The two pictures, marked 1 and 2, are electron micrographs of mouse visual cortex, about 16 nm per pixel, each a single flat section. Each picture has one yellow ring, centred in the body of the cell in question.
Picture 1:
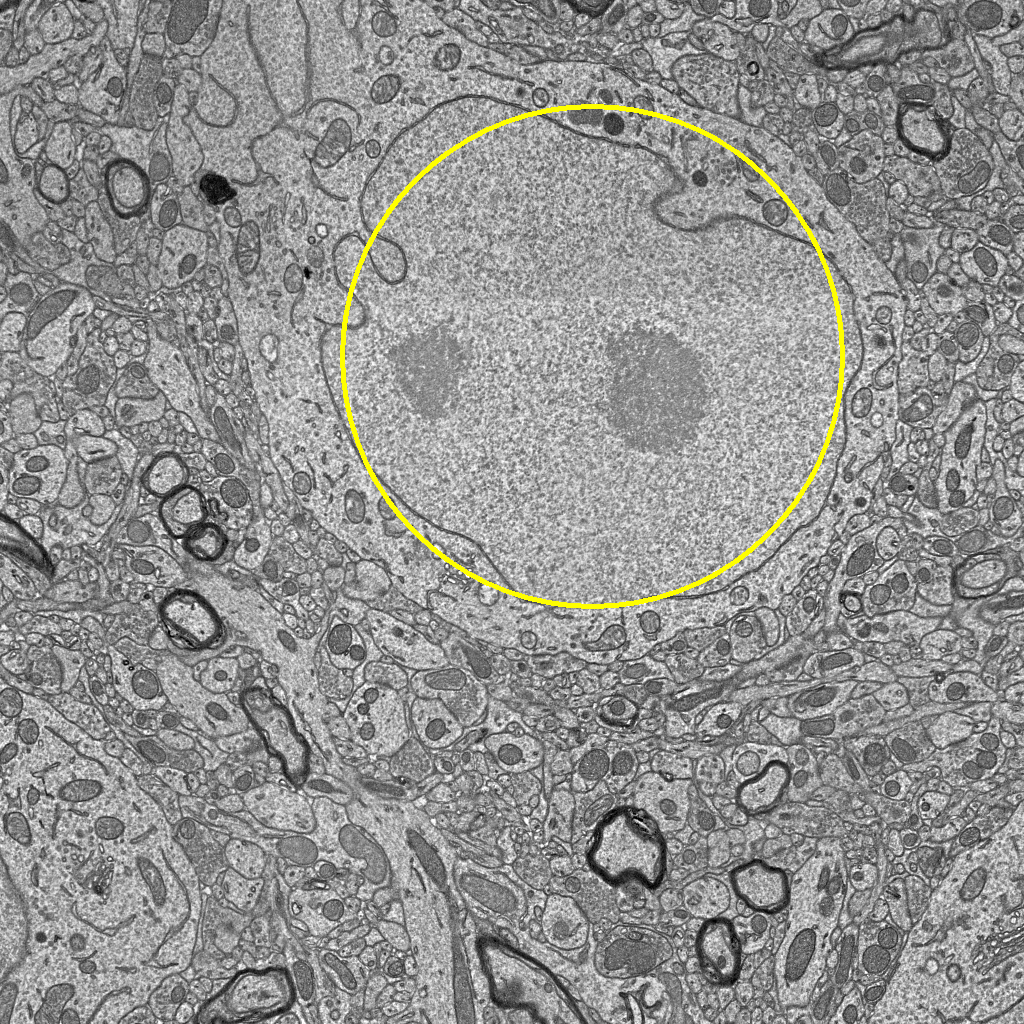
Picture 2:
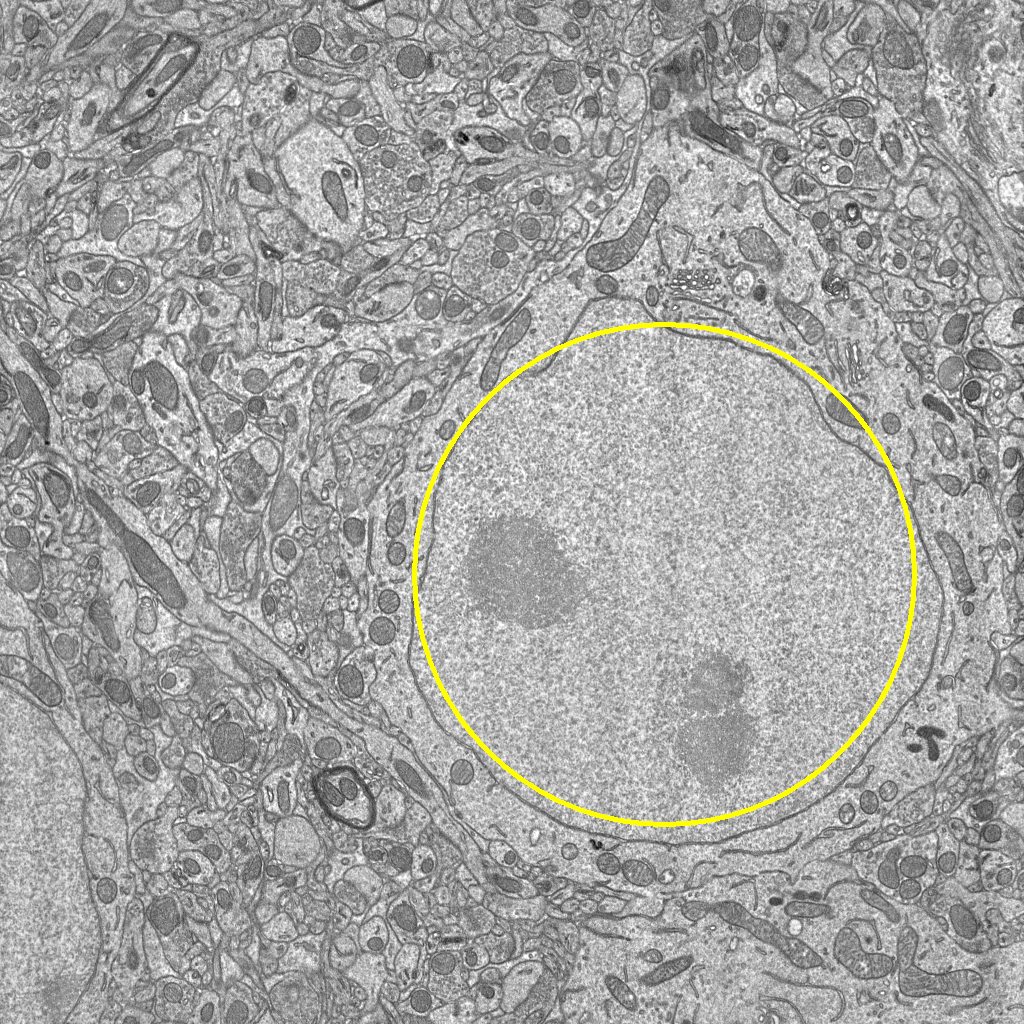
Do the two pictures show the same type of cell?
Yes, the two pictures both show excitatory neurons.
